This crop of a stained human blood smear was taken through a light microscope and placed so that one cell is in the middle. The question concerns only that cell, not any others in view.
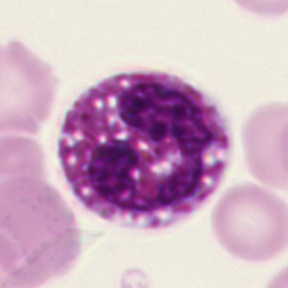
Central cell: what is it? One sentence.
In the central position of this crop, the cell is an eosinophil.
